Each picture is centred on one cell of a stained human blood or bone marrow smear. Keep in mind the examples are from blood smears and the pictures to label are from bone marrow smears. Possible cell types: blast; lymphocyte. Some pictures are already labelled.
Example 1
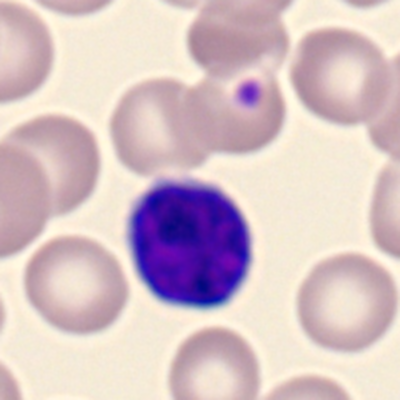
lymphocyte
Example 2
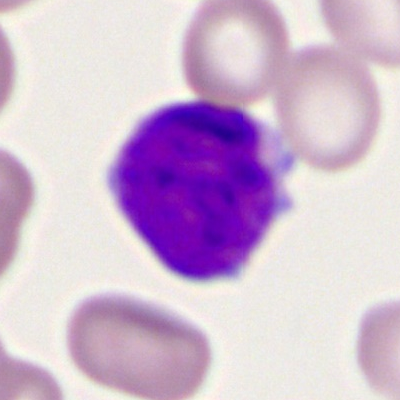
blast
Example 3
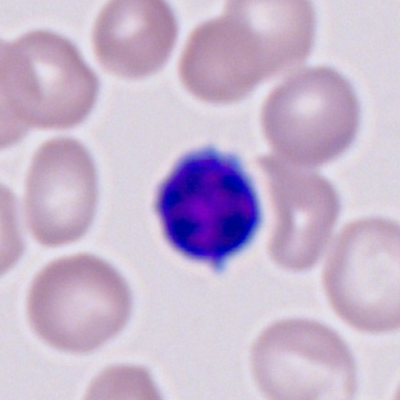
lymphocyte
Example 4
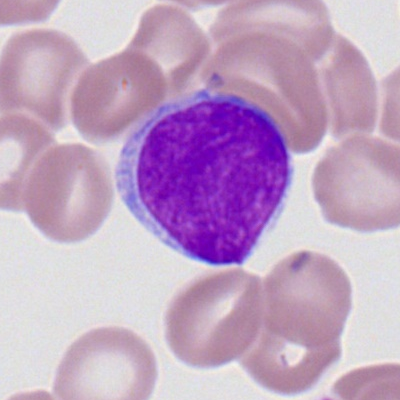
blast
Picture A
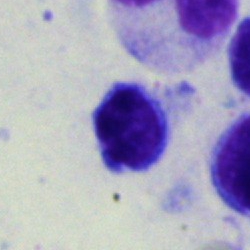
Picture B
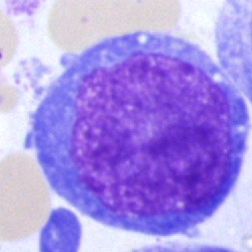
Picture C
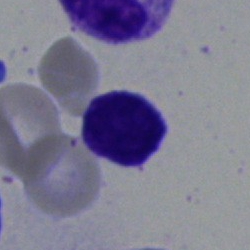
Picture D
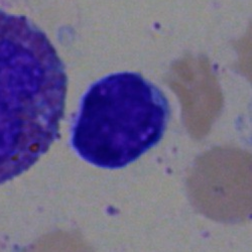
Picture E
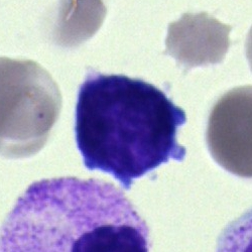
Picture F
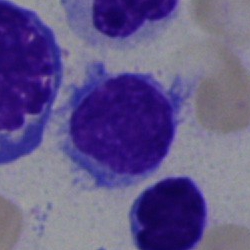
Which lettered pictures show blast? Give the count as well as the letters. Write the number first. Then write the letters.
Count: 1 (B)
